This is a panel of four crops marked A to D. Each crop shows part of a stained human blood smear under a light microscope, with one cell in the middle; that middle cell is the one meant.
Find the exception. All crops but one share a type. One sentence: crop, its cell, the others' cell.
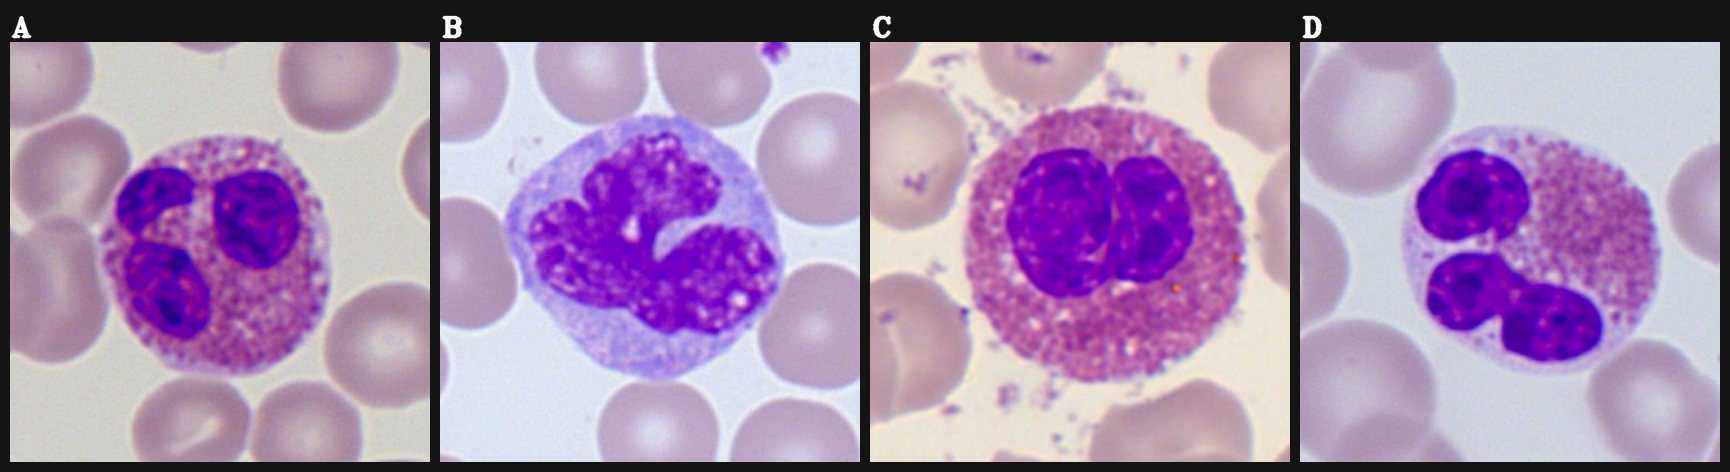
All of the other crops show eosinophils; crop B, by contrast, is a monocyte.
